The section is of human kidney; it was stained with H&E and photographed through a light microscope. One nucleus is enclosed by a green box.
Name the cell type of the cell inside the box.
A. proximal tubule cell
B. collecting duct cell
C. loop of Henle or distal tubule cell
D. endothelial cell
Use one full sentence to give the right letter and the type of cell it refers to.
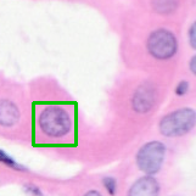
The choice that fits is option A, as the cell inside the box is a proximal tubule cell.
